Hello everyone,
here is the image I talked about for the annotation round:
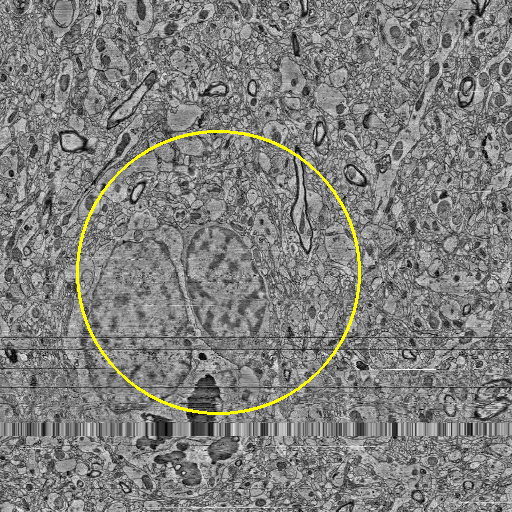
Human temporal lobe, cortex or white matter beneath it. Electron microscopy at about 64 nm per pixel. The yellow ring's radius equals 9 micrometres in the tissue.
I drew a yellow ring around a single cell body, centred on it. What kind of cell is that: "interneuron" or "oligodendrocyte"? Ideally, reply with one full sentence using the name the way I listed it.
The cell your yellow ring is centred on is an oligodendrocyte, going by your list.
